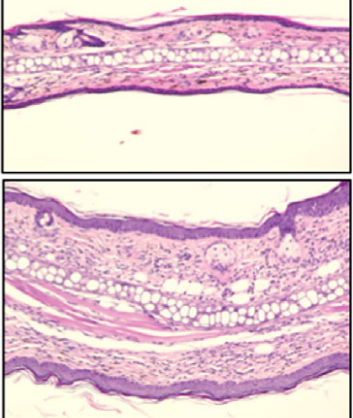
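These are two cross-sections of ear, each a thin sheet with a dark purple epidermis lining both surfaces. Between the two skin layers lies a dermis with pink connective tissue, and a central band of pale, clear, rounded cells. In the lower section the whole sheet is much thicker than in the upper one, with a broader, more densely cellular dermis and a thicker epidermis. The upper section is slender and shows comparatively few cells in its dermis.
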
